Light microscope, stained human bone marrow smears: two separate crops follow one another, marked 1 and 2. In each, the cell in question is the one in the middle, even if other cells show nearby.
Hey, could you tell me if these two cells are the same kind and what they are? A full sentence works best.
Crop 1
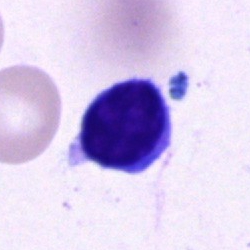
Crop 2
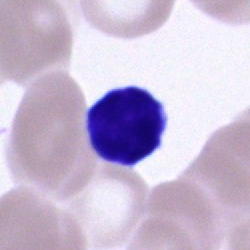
Yes, the two crops share the same answer, lymphocytes.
